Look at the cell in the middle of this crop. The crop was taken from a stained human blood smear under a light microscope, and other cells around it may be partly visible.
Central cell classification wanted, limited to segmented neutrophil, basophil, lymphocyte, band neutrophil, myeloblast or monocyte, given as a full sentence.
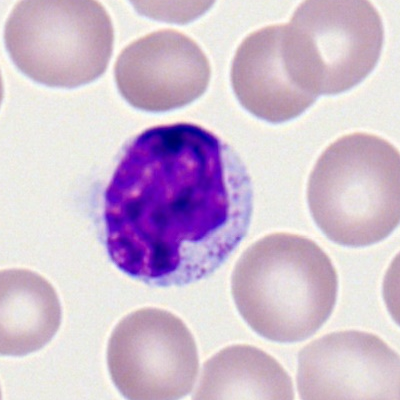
The cell at the middle of the frame should be recorded as a lymphocyte.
